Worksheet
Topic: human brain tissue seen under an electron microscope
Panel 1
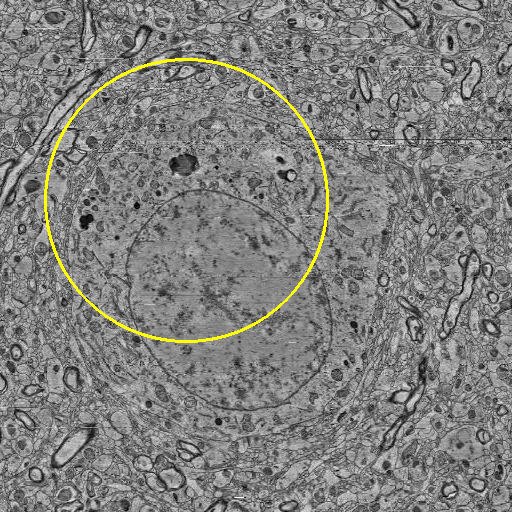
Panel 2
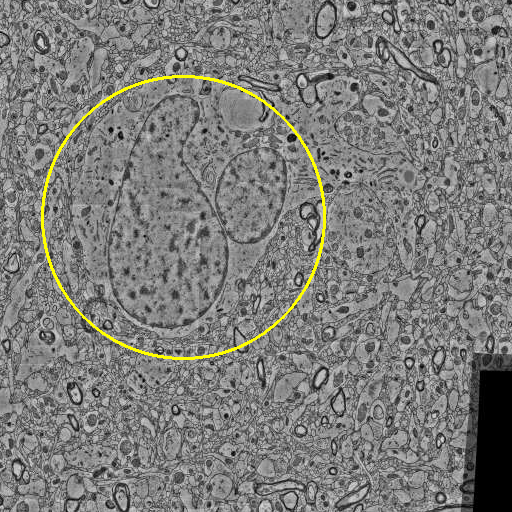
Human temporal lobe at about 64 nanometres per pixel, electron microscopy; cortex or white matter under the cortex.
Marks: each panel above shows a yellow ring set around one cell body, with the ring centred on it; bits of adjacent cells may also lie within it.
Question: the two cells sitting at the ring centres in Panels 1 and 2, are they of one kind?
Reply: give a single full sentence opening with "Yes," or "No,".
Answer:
No, the two ring-centre cells in Panel 1 and Panel 2 are of two kinds.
